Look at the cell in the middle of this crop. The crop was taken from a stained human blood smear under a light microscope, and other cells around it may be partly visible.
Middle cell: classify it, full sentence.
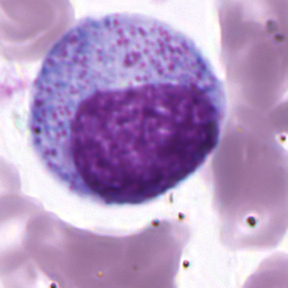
The cell centered in this field of view is a promyelocyte.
